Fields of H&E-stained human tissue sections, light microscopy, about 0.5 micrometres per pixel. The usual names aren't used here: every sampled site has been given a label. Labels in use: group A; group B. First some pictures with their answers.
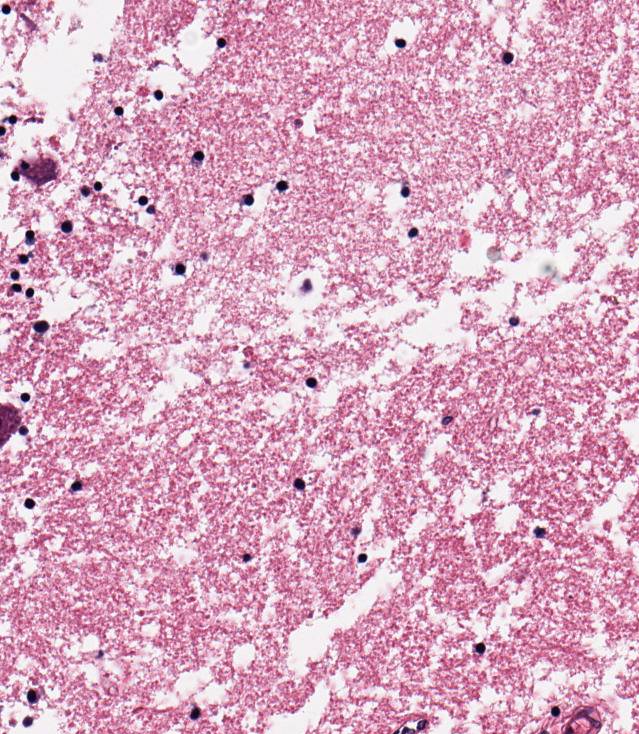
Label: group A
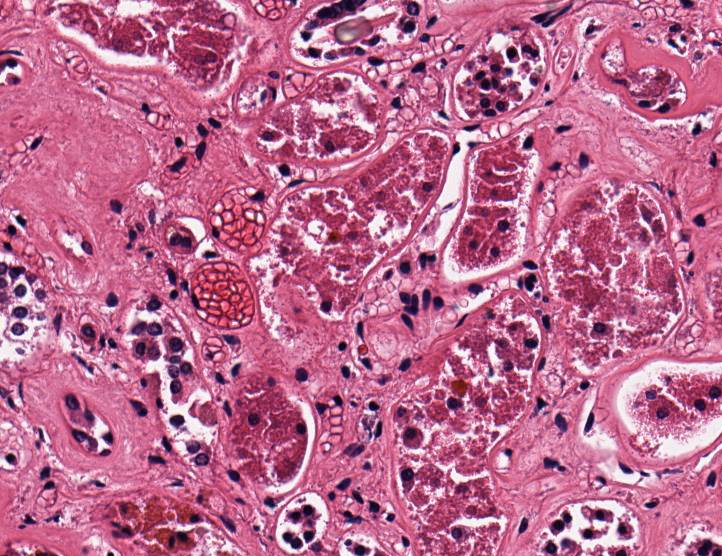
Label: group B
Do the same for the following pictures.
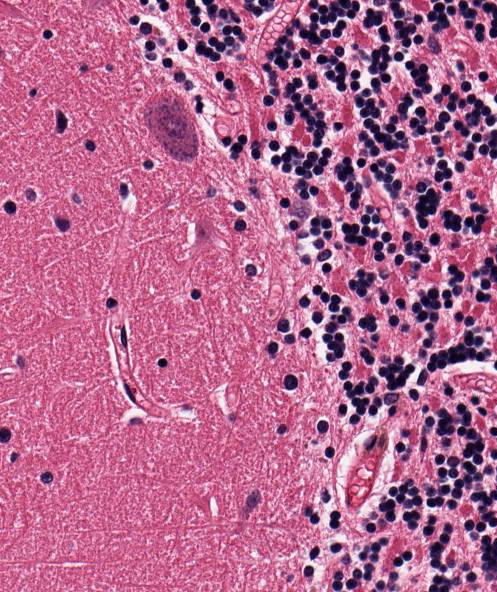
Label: group A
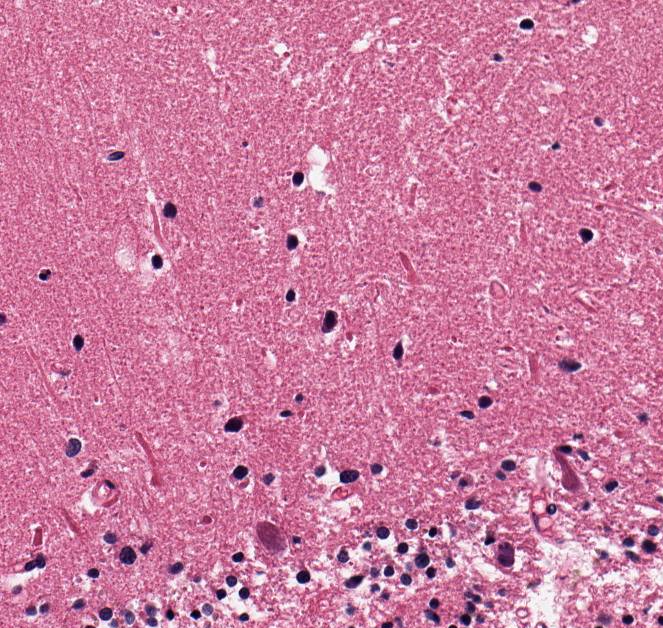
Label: group A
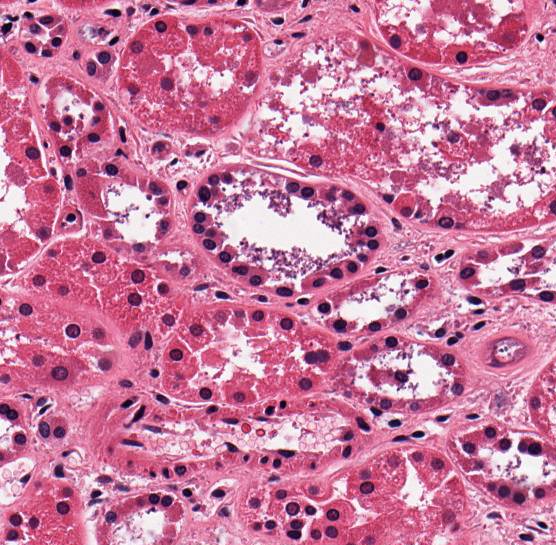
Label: group B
